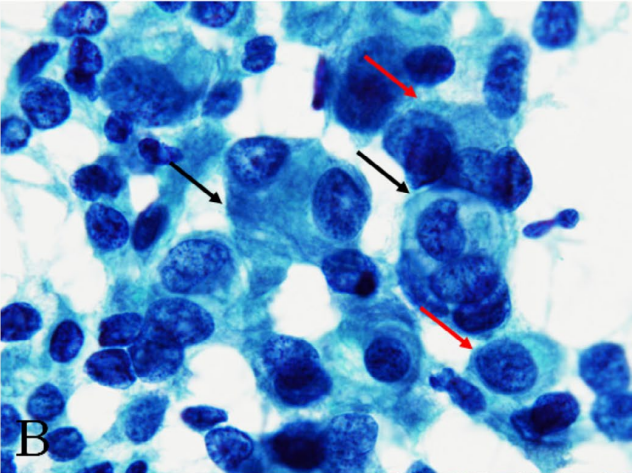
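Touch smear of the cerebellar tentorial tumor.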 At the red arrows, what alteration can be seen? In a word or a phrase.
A: Eccentrically located nuclei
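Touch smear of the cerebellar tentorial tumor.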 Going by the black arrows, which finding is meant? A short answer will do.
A: Binucleation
